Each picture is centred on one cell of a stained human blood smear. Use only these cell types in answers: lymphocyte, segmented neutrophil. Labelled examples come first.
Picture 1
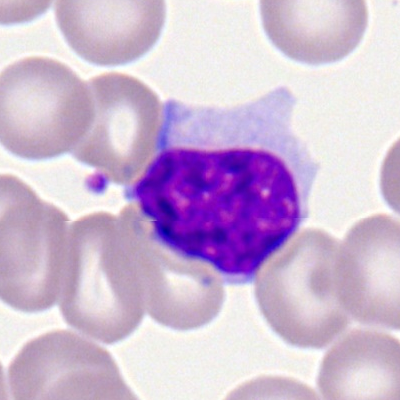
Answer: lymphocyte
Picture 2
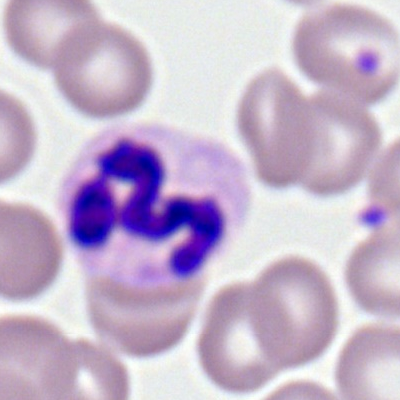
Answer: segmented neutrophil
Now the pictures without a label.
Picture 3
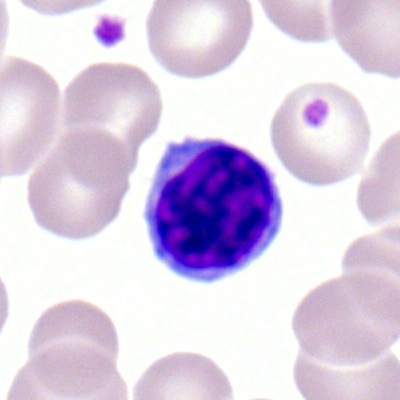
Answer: lymphocyte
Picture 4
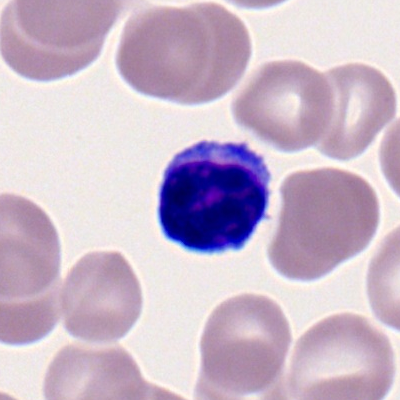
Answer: lymphocyte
